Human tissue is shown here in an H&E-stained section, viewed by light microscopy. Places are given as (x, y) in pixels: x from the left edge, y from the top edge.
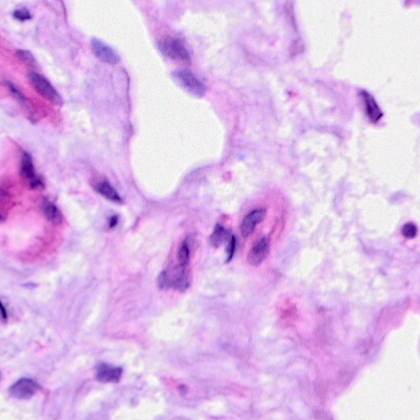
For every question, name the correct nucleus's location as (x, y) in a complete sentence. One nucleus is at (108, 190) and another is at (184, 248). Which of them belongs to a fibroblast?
Of the two candidate nuclei, the one at (108, 190) is that of a fibroblast.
